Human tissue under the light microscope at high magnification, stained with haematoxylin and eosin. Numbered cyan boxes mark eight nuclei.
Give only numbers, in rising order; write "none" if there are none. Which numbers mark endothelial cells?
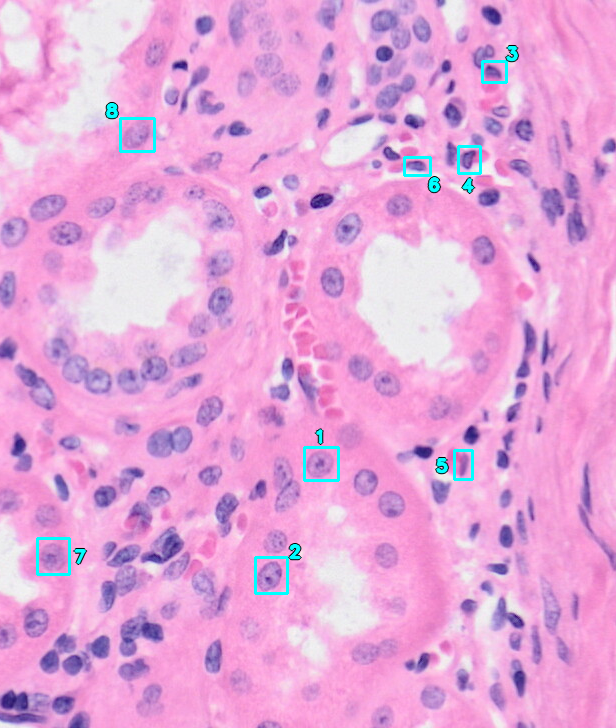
3, 4, 5, 6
